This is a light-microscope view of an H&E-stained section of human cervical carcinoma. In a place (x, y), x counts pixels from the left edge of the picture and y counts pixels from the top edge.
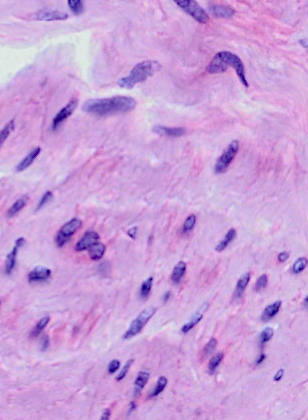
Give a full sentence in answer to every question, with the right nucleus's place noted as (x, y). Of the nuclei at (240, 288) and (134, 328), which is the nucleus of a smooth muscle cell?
It is the nucleus at (240, 288), not the other one, that belongs to a smooth muscle cell.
